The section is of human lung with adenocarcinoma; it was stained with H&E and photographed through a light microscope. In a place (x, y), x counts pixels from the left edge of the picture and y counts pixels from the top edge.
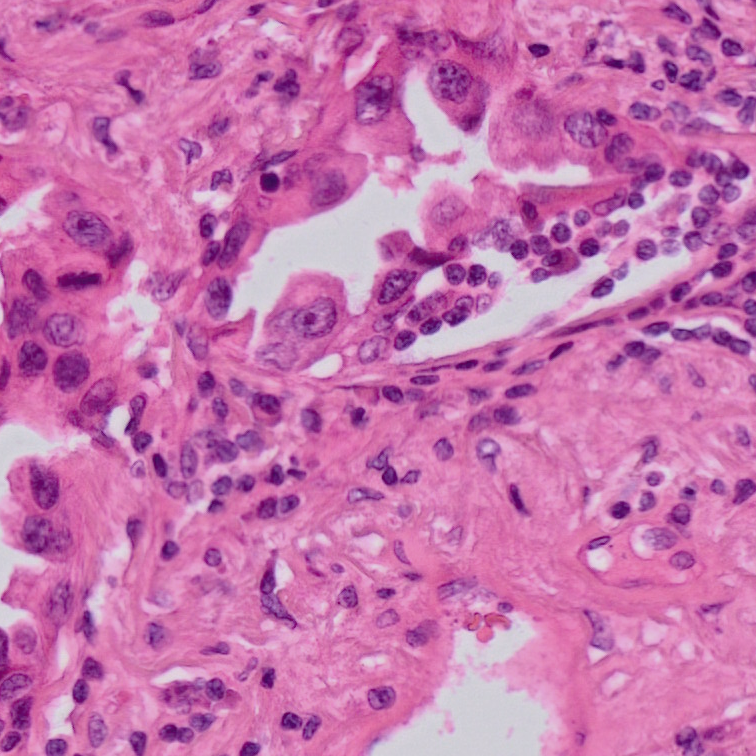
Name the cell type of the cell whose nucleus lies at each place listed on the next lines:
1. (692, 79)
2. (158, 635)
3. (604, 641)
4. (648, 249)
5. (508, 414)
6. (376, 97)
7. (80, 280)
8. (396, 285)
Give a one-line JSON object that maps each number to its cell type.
{"1": "lymphocyte", "2": "macrophage or monocyte", "3": "fibroblast", "4": "lymphocyte", "5": "plasma cell", "6": "carcinoma cell", "7": "carcinoma cell", "8": "carcinoma cell"}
